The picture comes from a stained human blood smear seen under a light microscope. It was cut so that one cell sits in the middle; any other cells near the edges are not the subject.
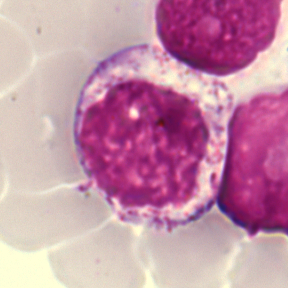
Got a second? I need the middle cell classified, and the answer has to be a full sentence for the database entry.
The crop shows a myelocyte in its centre.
